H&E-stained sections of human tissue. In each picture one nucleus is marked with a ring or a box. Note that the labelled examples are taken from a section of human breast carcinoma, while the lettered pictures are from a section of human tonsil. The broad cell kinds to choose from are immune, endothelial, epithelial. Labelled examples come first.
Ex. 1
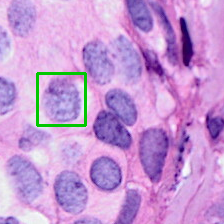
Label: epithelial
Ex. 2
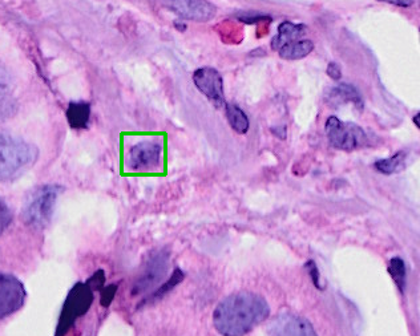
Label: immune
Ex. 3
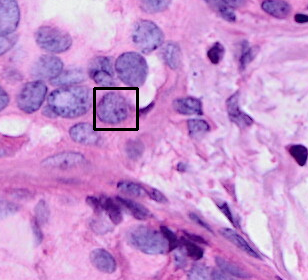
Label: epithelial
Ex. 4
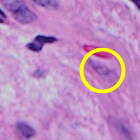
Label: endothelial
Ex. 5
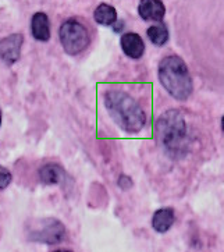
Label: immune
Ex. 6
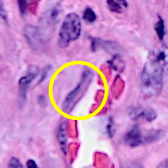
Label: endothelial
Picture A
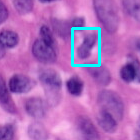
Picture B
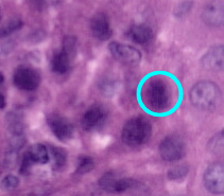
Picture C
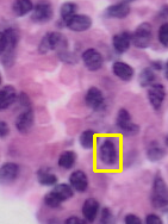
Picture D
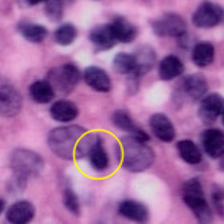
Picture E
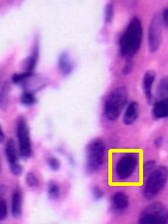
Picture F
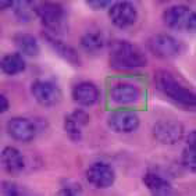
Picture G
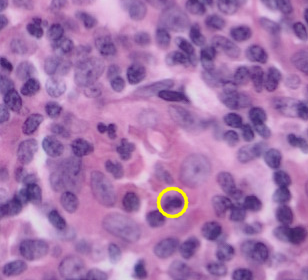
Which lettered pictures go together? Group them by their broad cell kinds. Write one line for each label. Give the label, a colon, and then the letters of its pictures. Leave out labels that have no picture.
immune: C, F
endothelial: D, G
epithelial: A, B, E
